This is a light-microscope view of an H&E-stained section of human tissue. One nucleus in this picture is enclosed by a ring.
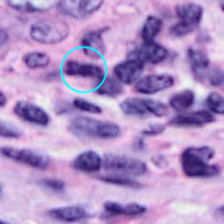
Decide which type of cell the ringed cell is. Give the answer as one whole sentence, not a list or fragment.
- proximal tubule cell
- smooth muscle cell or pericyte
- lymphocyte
For the purposes of cell typing, the ringed cell is categorized as a lymphocyte.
